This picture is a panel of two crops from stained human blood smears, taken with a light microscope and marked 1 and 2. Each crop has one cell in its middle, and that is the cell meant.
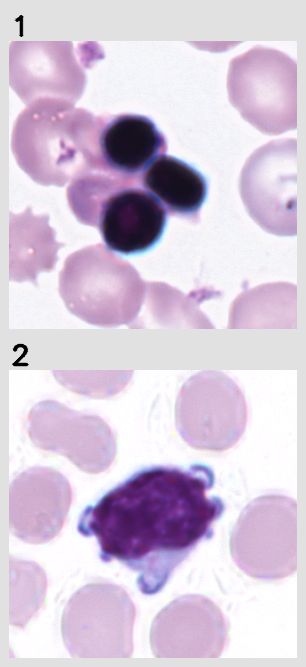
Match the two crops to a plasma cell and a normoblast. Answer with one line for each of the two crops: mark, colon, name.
1: normoblast
2: plasma cell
